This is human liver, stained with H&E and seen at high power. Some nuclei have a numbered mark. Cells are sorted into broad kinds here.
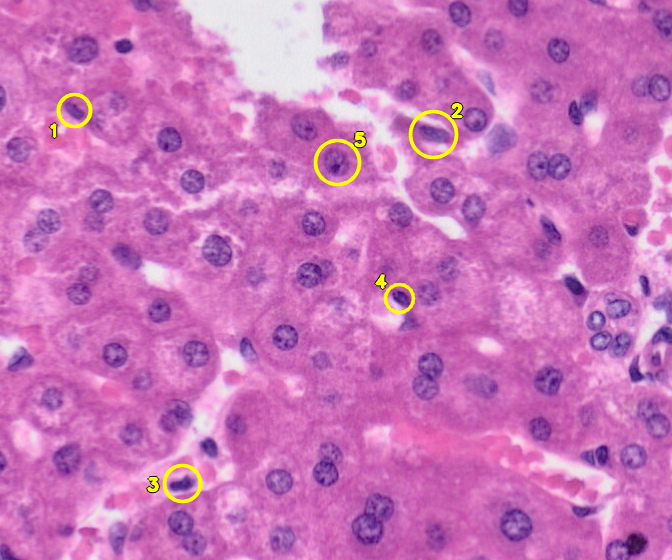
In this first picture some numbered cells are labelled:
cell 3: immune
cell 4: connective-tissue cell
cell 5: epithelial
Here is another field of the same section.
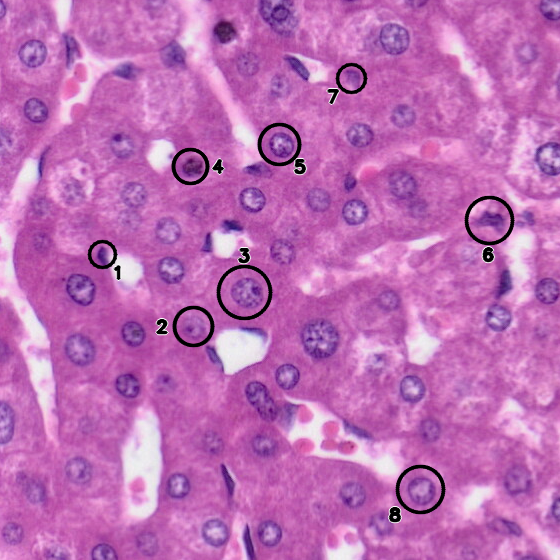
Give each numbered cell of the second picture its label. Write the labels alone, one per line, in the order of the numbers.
connective-tissue cell
epithelial
epithelial
epithelial
epithelial
immune
connective-tissue cell
epithelial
